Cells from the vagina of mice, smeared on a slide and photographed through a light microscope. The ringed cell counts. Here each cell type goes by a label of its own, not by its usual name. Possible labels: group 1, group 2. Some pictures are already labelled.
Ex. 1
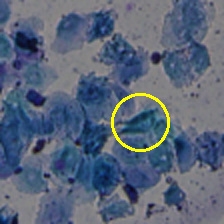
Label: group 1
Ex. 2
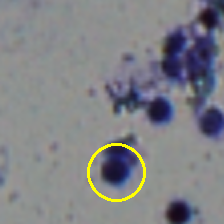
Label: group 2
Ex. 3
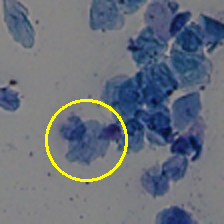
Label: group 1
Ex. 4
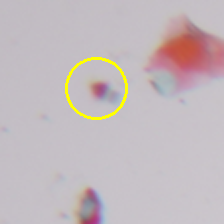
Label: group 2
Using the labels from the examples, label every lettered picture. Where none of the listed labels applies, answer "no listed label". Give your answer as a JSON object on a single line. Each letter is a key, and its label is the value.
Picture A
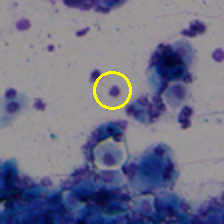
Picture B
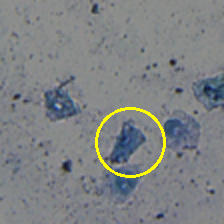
{"A": "group 2", "B": "group 1"}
